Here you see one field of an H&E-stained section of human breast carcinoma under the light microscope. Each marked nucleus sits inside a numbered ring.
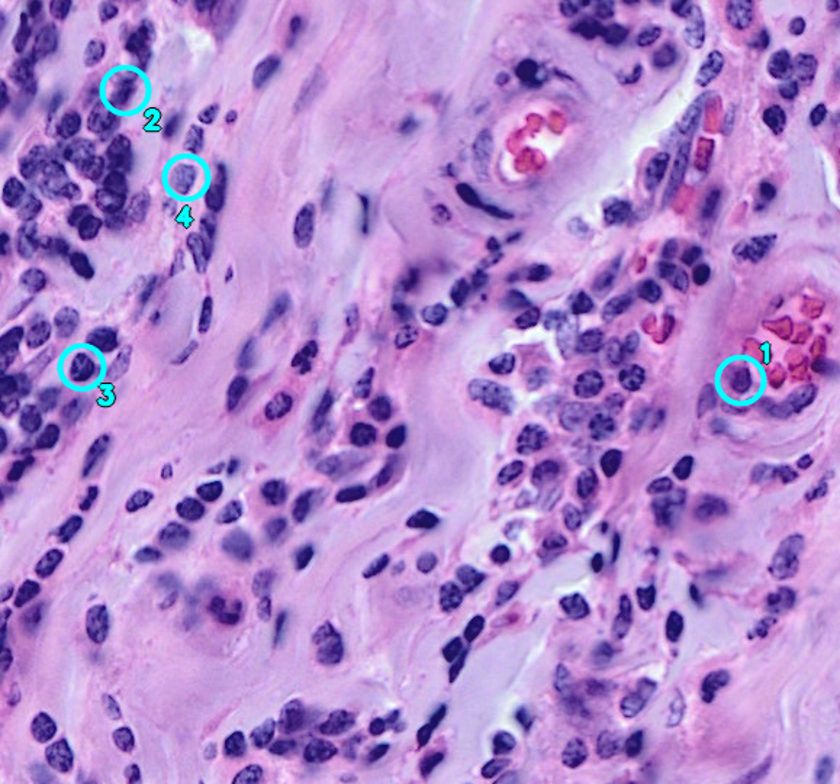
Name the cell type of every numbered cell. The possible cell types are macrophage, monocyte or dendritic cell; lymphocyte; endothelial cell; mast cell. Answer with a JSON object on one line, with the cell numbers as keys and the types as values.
{"1": "endothelial cell", "2": "lymphocyte", "3": "lymphocyte", "4": "lymphocyte"}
